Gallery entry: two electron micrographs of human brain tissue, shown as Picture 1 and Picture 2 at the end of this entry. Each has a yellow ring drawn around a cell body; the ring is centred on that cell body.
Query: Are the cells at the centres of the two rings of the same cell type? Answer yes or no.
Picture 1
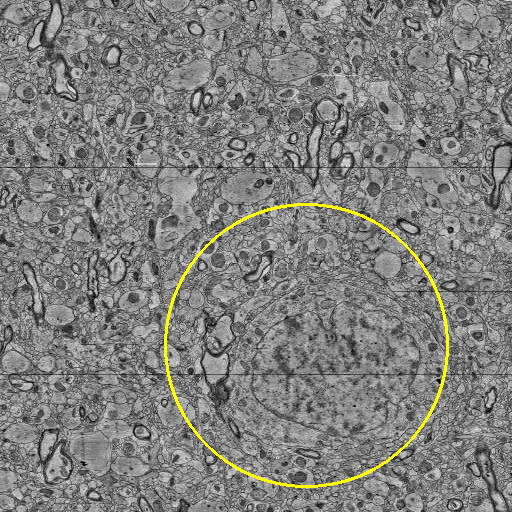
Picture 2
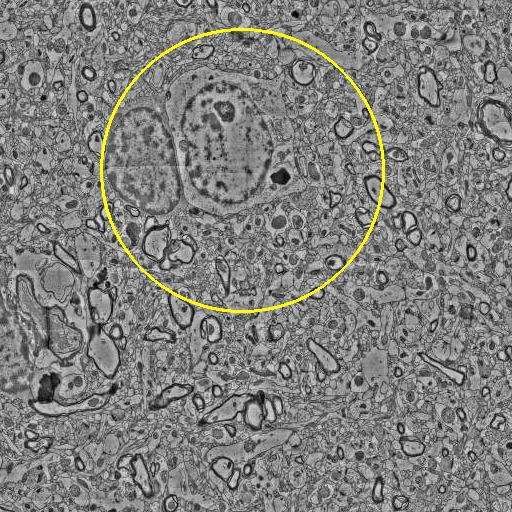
yes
